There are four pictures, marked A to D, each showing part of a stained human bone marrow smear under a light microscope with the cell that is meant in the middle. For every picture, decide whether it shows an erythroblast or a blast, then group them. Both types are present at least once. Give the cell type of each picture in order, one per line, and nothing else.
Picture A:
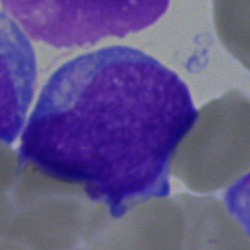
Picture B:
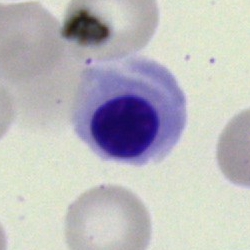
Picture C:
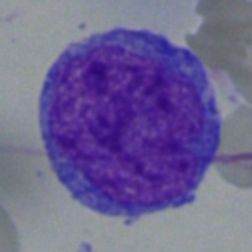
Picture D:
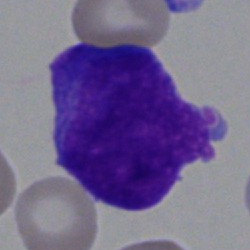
blast
erythroblast
blast
blast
